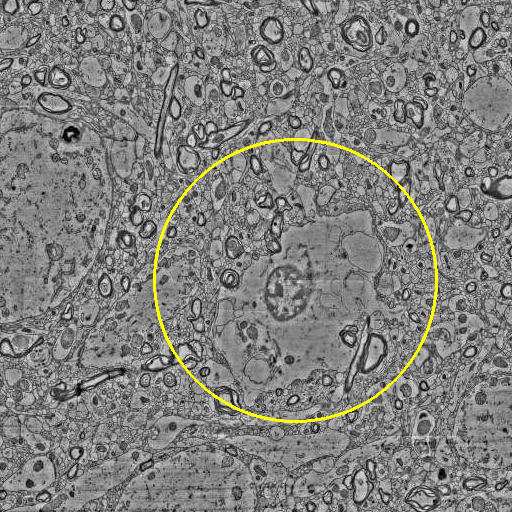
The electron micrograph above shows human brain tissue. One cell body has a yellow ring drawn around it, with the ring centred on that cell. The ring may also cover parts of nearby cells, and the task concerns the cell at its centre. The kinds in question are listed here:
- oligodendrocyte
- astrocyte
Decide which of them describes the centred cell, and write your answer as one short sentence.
The centred cell is an astrocyte.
